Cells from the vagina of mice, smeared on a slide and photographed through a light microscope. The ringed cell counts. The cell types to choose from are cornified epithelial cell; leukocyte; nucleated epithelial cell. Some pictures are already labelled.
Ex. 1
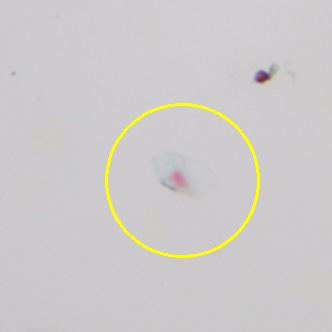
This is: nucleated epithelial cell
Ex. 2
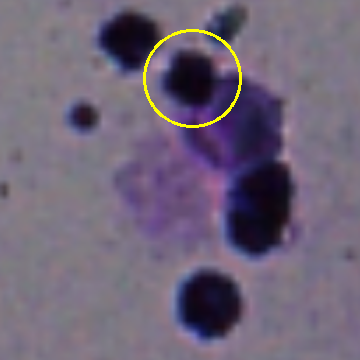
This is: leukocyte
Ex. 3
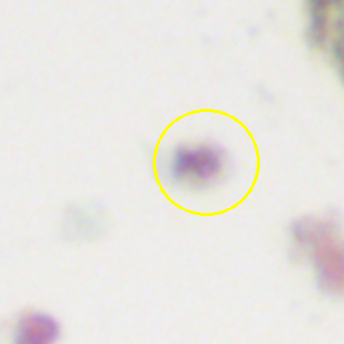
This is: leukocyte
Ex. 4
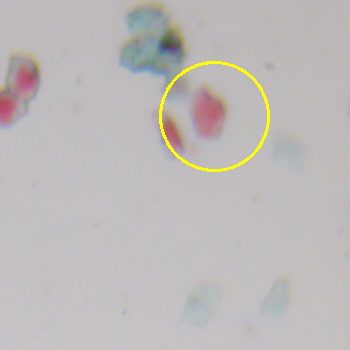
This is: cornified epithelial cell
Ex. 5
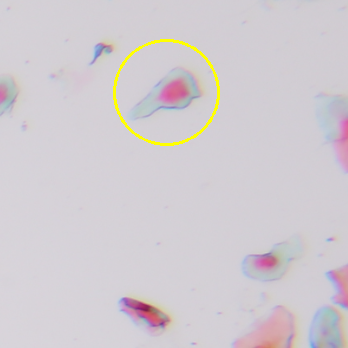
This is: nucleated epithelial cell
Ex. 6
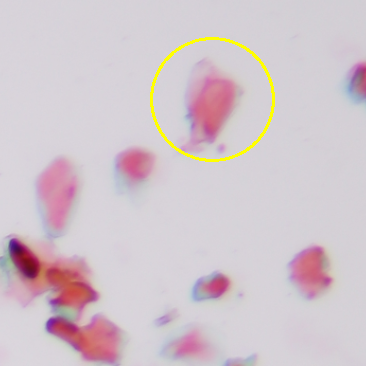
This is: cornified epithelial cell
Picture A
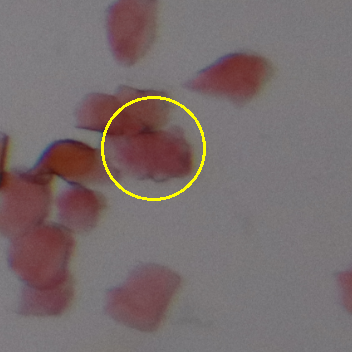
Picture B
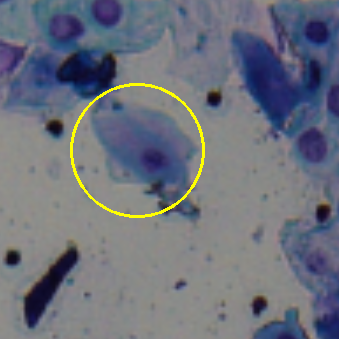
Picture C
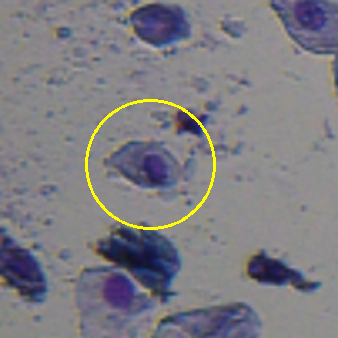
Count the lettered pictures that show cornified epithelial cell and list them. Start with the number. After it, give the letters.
1, namely A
